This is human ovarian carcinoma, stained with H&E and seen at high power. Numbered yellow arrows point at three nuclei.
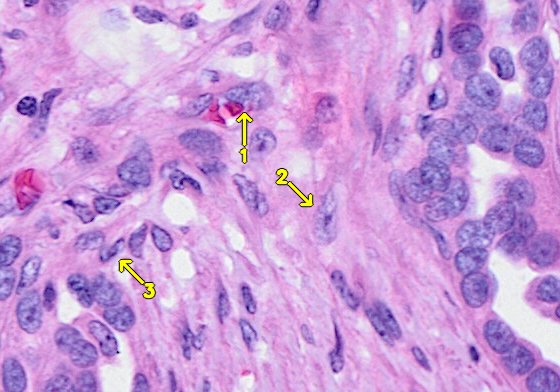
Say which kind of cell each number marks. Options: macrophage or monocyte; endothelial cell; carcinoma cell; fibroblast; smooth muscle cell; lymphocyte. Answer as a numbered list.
1. endothelial cell
2. fibroblast
3. fibroblast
